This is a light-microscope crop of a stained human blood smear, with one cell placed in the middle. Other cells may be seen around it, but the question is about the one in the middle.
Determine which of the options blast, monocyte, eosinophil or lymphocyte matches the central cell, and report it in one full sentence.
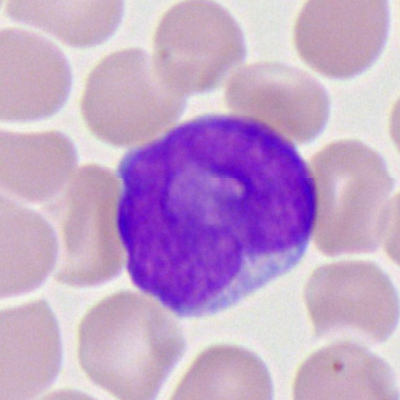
The centrally positioned cell in the crop represents a blast.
